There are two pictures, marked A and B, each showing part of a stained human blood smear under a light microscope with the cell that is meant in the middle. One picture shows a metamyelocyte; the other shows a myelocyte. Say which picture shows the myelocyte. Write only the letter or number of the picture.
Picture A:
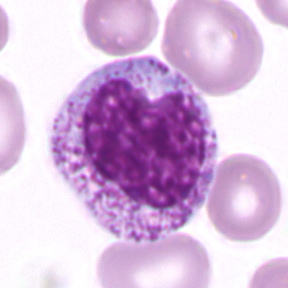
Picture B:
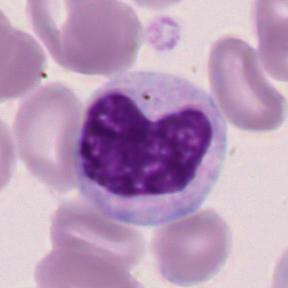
A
